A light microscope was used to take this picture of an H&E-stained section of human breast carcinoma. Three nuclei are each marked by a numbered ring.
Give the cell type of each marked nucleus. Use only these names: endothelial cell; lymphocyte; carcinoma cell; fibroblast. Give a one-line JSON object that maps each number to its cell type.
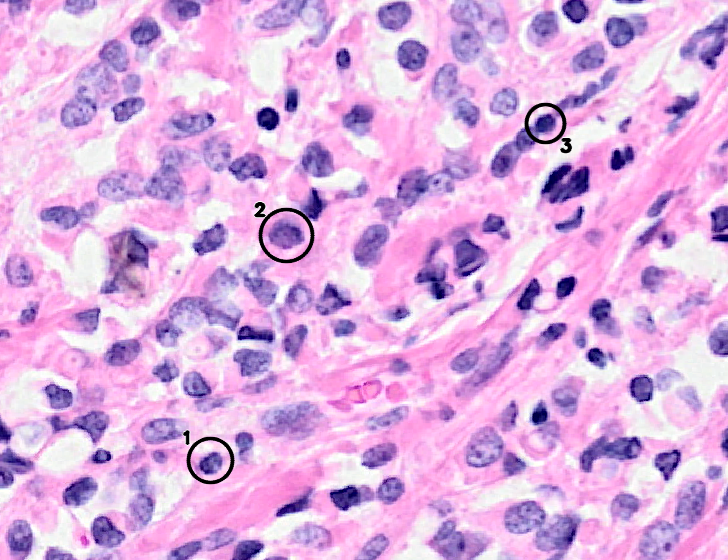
{"1": "lymphocyte", "2": "carcinoma cell", "3": "lymphocyte"}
